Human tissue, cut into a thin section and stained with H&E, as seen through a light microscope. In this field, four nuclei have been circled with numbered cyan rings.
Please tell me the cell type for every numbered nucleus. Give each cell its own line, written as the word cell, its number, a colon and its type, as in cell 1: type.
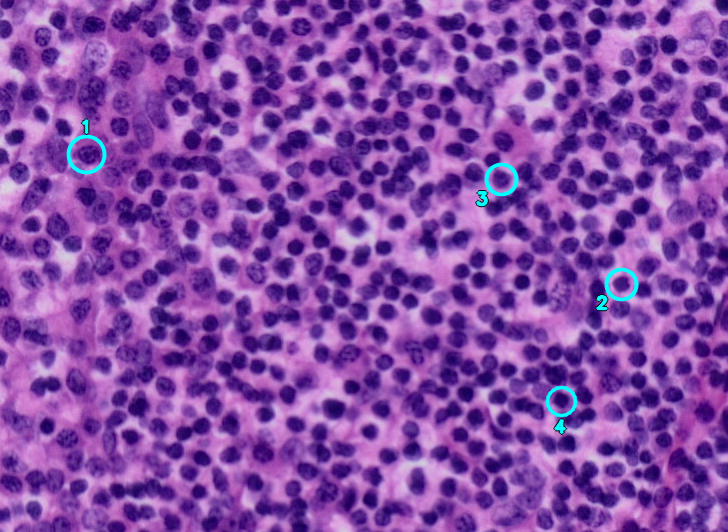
cell 1: plasma cell
cell 2: small lymphocyte
cell 3: small lymphocyte
cell 4: small lymphocyte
